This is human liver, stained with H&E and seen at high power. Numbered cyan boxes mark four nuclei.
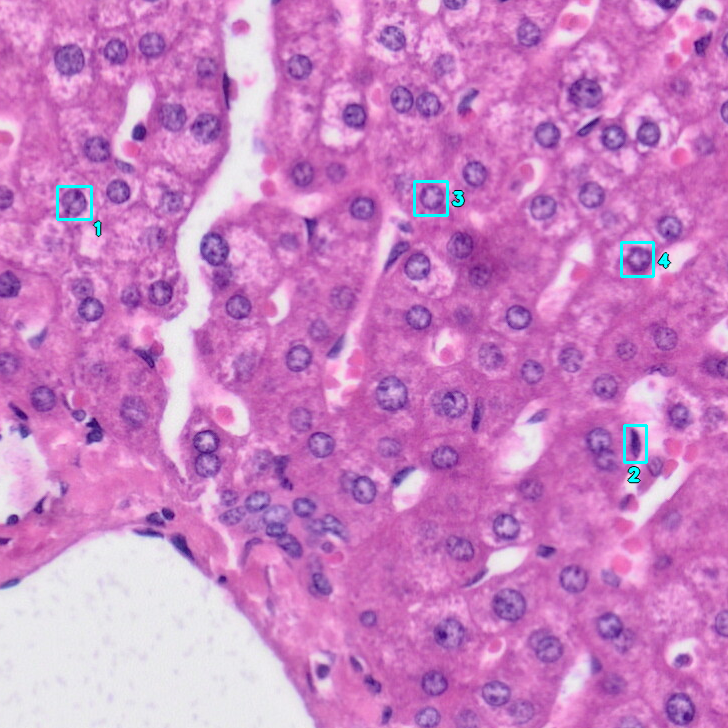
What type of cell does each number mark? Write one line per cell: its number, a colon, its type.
1: hepatocyte
2: fibroblast or stellate cell
3: hepatocyte
4: hepatocyte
